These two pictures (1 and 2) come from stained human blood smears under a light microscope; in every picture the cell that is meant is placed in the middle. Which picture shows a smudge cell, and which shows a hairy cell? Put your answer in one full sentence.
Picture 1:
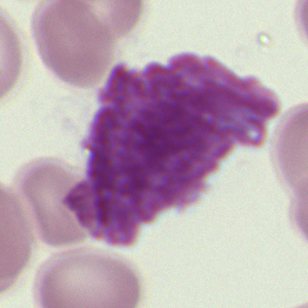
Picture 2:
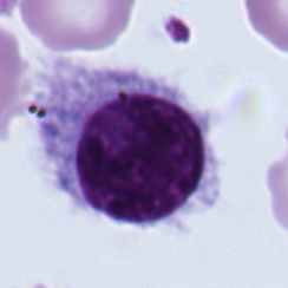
Picture 2 shows a hairy cell, while picture 1 shows a smudge cell.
